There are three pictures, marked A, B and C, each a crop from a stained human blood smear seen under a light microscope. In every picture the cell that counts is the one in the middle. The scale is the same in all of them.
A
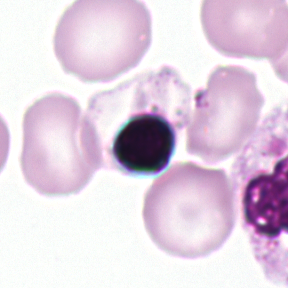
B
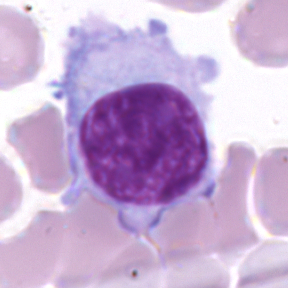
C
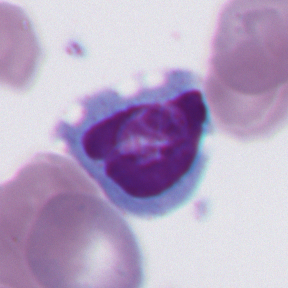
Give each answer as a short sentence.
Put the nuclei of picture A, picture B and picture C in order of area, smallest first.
From the smallest up, the order is A, C, B.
